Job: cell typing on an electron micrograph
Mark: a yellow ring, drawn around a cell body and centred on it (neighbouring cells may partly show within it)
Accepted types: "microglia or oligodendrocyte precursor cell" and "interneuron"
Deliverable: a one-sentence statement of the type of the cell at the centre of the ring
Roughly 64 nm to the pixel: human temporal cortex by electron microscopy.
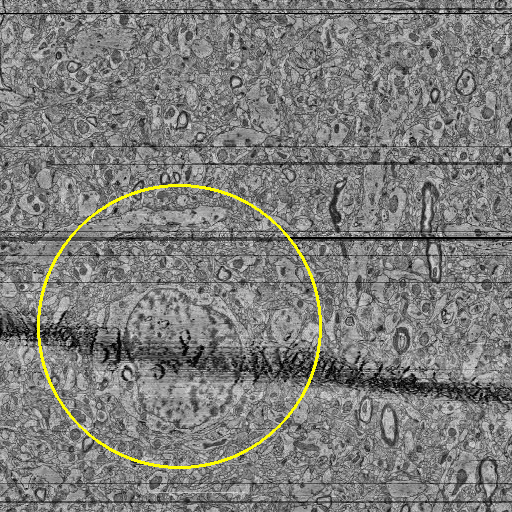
The centred cell body is that of an interneuron.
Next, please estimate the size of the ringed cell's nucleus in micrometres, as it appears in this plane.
The nucleus appears roughly 9 by 8 micrometres in this plane.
